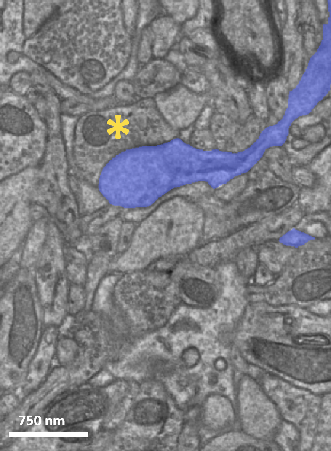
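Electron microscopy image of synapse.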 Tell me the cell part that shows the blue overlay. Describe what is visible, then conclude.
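Postsynaptic terminal and dendrite. The blue-shaded profile is a long tubular process running diagonally through the field. It widens into a bulbous end at its lower left.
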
